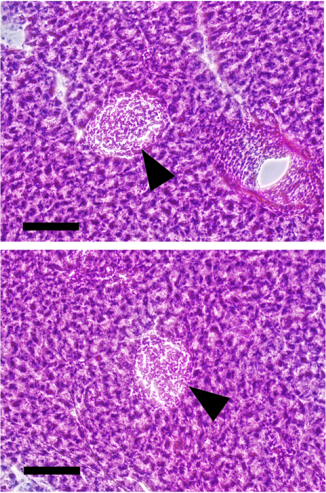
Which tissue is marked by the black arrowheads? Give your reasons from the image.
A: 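Each arrowhead points to a rounded, sharply bounded cluster of cells that stains paler than its surroundings. The pale clusters lie within densely packed, darker purple-stained glandular tissue.
Conclusion: pancreatic islets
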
